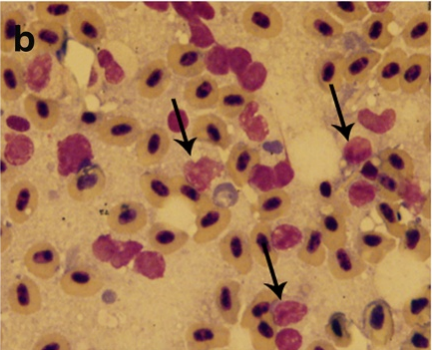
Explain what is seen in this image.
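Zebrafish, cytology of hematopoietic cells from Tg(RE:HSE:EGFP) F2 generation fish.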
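Blood smear with oval erythrocytes, each with pale cytoplasm and a dark central oval nucleus, mixed with many larger, rounder blast-like cells. The blast-like cells have large reddish-purple nuclei that fill most of the cell, leaving only a thin rim of cytoplasm.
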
